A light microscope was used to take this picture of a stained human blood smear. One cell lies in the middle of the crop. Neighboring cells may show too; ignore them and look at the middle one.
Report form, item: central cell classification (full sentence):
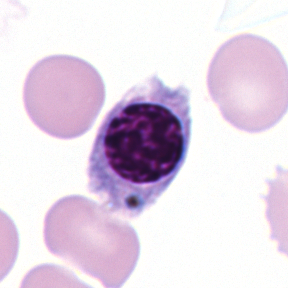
Here the centrally located cell is a normoblast.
